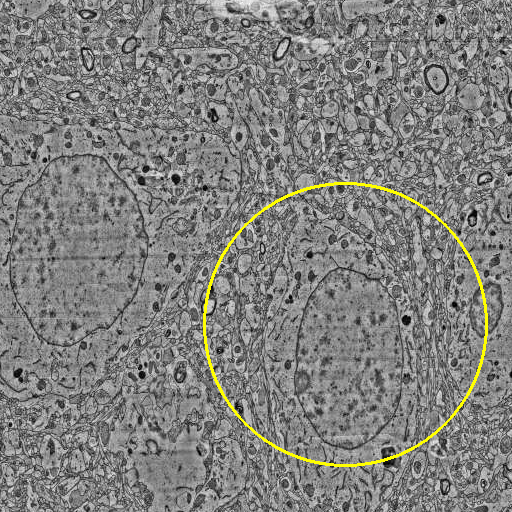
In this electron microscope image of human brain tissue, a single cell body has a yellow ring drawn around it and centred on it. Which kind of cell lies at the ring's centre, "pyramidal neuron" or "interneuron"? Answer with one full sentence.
It is a pyramidal neuron whose cell body lies at the centre of the yellow ring here.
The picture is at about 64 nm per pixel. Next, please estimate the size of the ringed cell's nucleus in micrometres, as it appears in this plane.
In this plane the nucleus measures about 12 by 8 micrometres and is clearly longer than it is wide.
